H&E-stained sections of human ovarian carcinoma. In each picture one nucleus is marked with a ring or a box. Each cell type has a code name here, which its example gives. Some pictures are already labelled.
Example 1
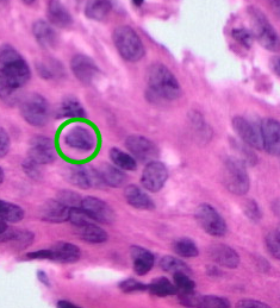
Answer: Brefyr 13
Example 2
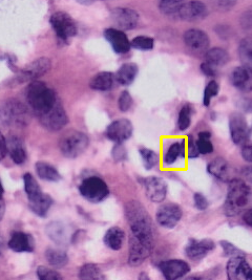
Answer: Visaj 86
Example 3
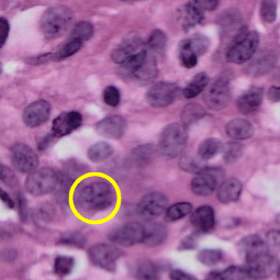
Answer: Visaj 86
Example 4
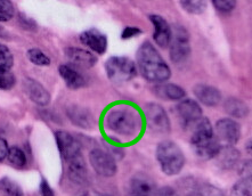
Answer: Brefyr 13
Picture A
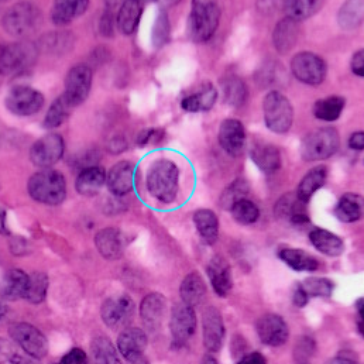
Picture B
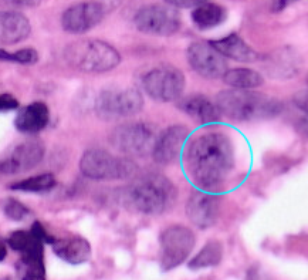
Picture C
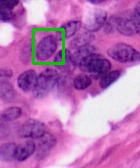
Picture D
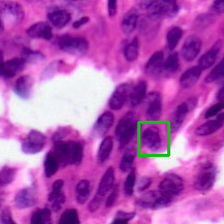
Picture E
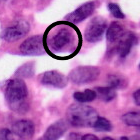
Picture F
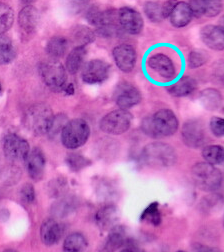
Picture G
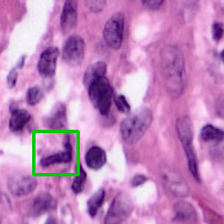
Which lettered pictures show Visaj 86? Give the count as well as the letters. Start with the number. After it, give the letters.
4, namely B, C, D, E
